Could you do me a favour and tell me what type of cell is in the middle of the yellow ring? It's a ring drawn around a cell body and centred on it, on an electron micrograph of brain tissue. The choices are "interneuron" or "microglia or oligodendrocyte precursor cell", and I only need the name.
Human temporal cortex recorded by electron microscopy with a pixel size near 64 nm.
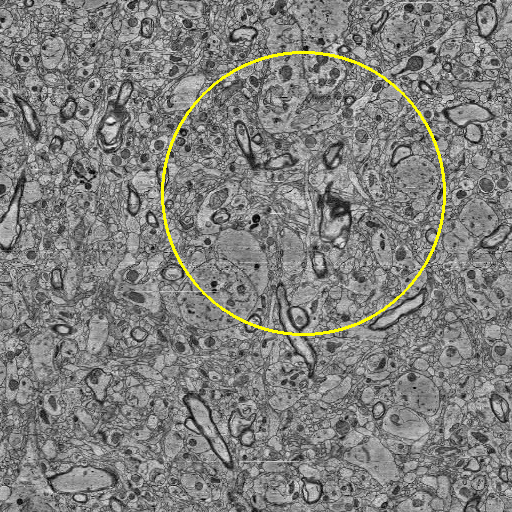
microglia or oligodendrocyte precursor cell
